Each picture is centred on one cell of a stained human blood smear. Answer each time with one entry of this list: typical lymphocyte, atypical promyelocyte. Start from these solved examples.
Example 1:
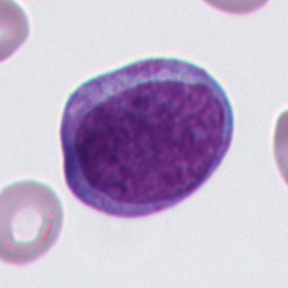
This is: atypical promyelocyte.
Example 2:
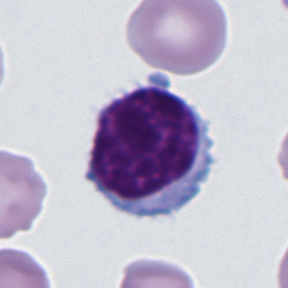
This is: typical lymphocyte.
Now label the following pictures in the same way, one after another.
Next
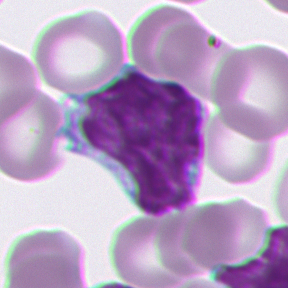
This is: typical lymphocyte.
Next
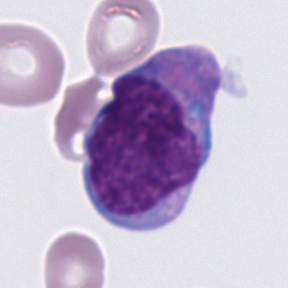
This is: atypical promyelocyte.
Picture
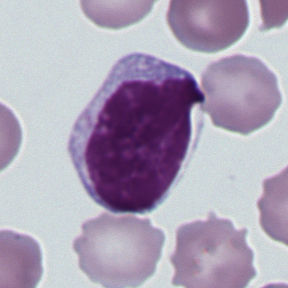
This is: typical lymphocyte.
